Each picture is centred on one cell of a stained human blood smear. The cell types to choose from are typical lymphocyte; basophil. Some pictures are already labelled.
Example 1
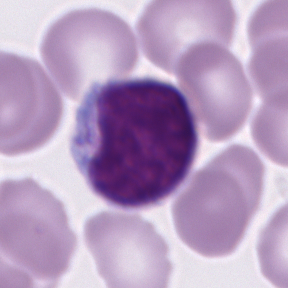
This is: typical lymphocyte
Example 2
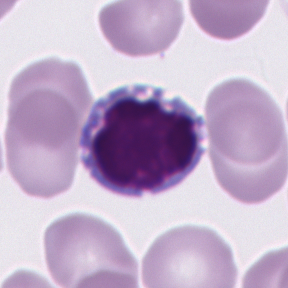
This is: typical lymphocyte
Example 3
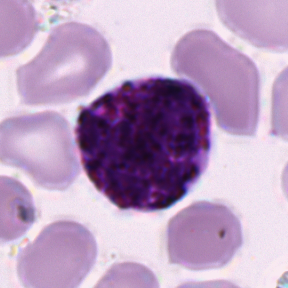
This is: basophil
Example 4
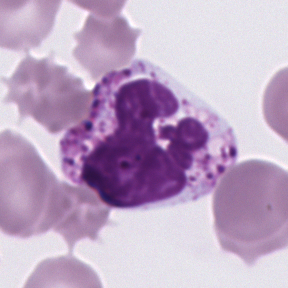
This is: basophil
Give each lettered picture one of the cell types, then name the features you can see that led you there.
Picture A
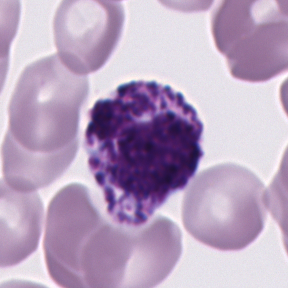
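basophil: Coarse dark purple granules fill most of the cell.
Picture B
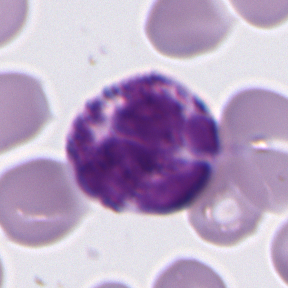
basophil: Only small pale whitish gaps of cytoplasm show between the granules.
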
